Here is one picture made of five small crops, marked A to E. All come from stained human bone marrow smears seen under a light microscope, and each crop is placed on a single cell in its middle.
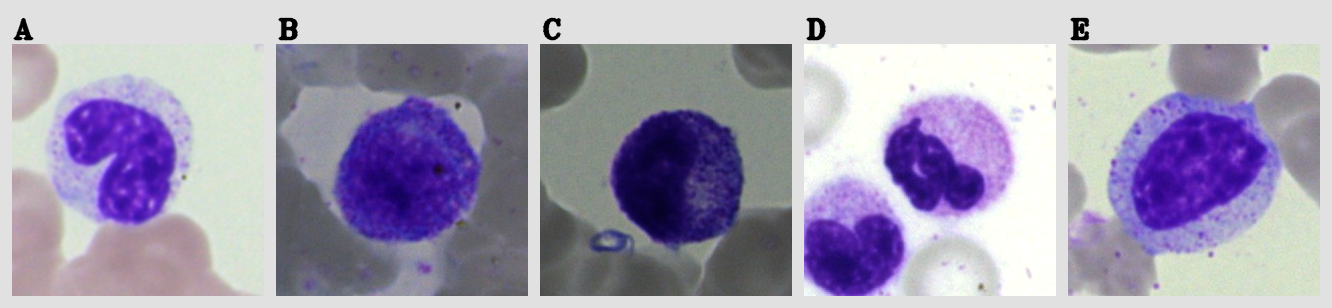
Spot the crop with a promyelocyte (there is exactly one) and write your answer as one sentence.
That would be crop B; it shows a promyelocyte.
